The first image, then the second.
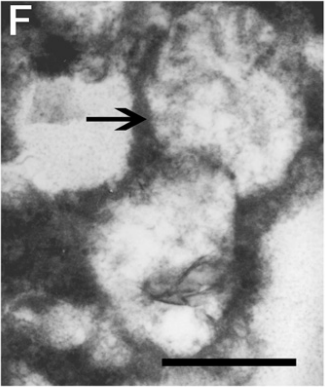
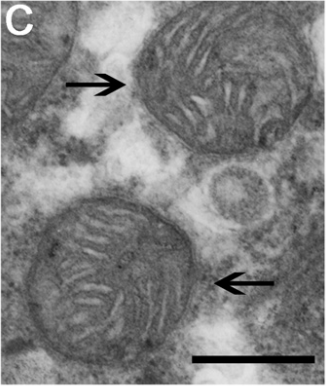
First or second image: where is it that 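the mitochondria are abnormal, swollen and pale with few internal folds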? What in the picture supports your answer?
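First image: the marked organelles are pale, swollen and largely lack internal membranes. Second image: the marked organelles are compact with a clear double membrane and many parallel cristae.
Hence: the first image.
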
